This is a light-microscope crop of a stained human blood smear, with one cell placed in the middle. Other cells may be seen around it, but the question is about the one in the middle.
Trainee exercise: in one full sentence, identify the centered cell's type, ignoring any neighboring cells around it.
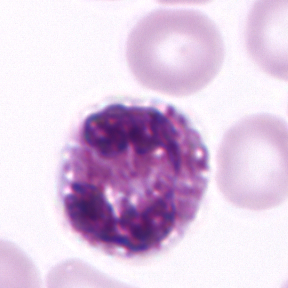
The target cell in the middle of the crop is an eosinophil.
